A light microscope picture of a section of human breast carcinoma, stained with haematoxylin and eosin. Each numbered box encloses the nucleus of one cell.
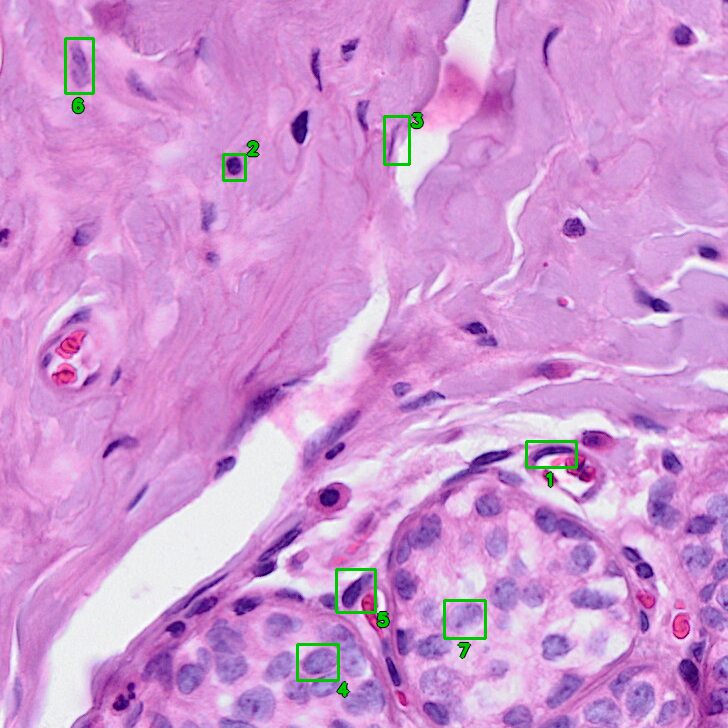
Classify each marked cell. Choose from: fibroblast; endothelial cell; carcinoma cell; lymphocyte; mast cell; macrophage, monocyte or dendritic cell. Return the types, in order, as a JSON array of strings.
["endothelial cell", "mast cell", "fibroblast", "carcinoma cell", "endothelial cell", "fibroblast", "carcinoma cell"]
